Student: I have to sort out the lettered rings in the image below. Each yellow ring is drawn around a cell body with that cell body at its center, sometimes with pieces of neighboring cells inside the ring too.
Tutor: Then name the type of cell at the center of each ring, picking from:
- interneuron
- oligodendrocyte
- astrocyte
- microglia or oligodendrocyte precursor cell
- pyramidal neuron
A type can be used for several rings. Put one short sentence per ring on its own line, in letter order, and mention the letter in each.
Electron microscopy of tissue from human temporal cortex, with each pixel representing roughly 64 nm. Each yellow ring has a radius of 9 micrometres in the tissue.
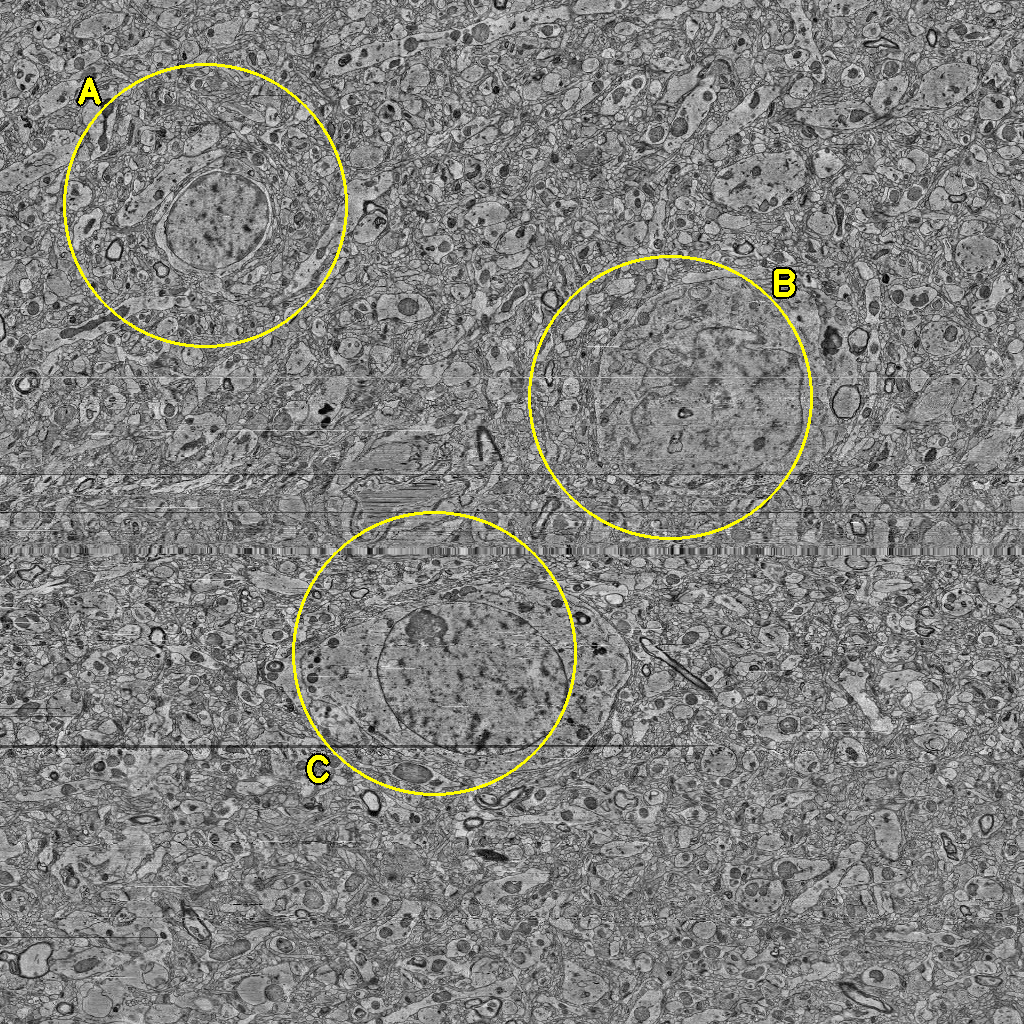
Inside ring A, at its center, is a microglial cell or oligodendrocyte precursor cell.
Inside ring B, at its center, is an interneuron.
Inside ring C, at its center, is a pyramidal neuron.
